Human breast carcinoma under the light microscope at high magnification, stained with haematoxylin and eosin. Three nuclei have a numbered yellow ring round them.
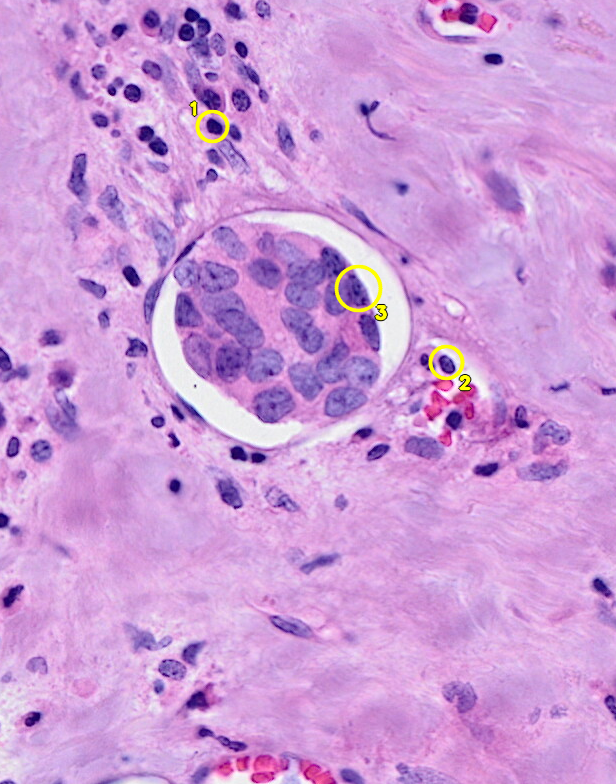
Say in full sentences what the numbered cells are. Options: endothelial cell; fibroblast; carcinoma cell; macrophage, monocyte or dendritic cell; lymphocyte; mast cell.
Cells 1 and 2 are lymphocytes. Cell 3 is a carcinoma cell.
